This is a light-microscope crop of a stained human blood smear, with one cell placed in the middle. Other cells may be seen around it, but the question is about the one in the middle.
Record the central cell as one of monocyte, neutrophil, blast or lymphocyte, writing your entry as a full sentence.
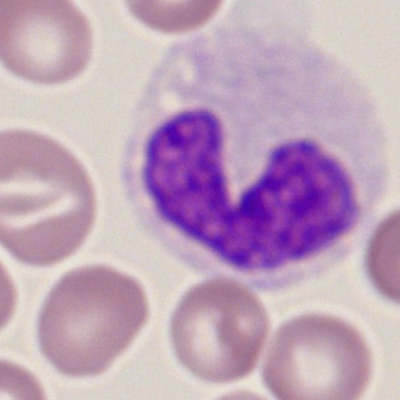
The cell shown in the center of this light-microscope crop is a monocyte.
